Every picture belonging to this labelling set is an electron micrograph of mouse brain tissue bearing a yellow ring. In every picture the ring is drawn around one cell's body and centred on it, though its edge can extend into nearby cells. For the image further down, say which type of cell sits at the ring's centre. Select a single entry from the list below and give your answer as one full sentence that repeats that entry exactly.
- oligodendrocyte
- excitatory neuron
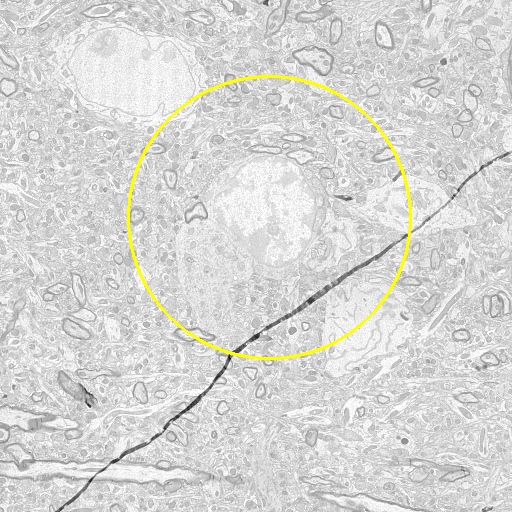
In the picture, an oligodendrocyte is the cell at the centre of the yellow ring.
